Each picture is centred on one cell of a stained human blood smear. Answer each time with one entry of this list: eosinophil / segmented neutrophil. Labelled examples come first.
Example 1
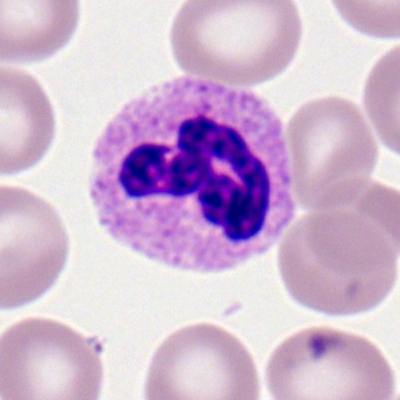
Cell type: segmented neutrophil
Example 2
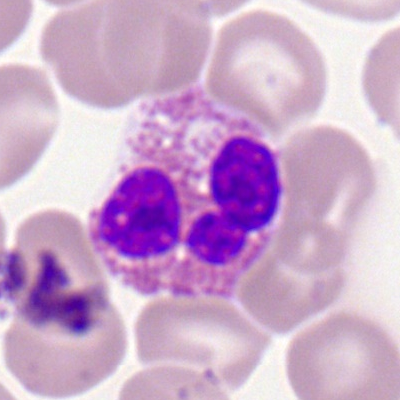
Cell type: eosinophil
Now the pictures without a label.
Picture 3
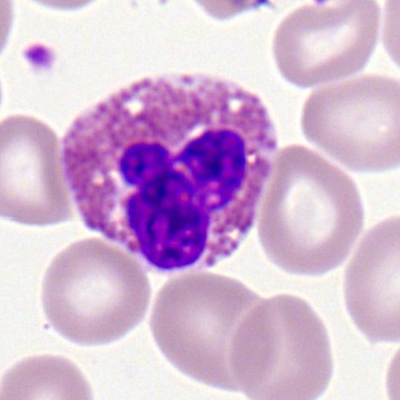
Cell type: eosinophil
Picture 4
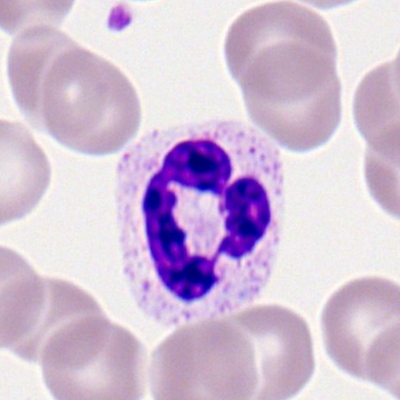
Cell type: segmented neutrophil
